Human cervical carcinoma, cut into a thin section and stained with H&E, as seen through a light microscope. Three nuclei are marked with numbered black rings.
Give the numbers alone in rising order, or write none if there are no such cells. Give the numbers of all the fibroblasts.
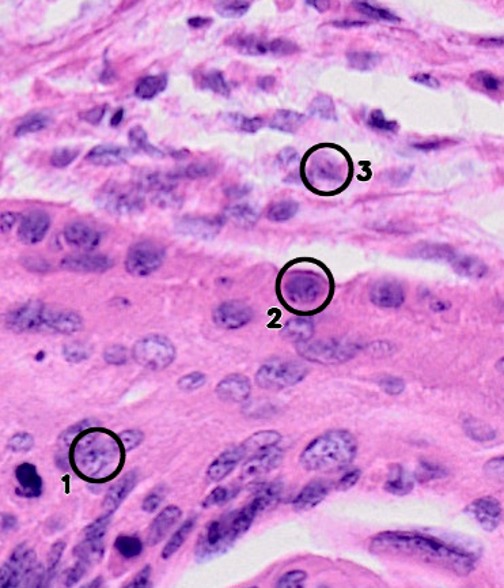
3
